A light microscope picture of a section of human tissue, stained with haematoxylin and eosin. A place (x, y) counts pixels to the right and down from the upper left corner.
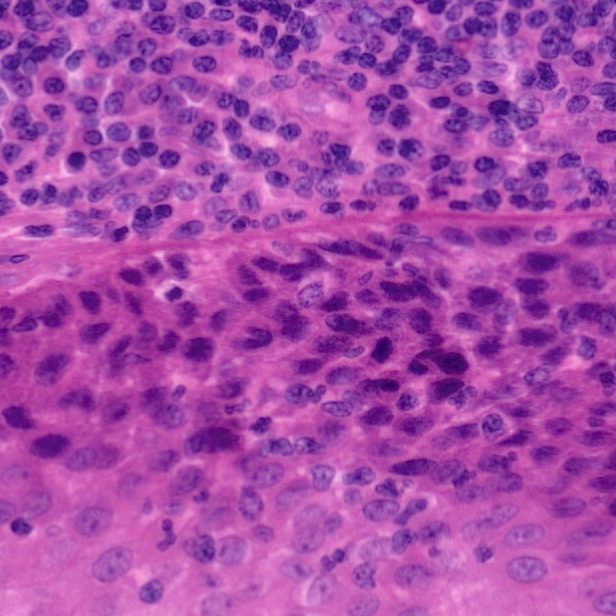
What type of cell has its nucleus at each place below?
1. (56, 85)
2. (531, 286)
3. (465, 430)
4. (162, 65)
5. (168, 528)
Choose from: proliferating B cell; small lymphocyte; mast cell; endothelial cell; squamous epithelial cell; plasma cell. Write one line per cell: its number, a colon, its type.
1: plasma cell
2: squamous epithelial cell
3: squamous epithelial cell
4: plasma cell
5: squamous epithelial cell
